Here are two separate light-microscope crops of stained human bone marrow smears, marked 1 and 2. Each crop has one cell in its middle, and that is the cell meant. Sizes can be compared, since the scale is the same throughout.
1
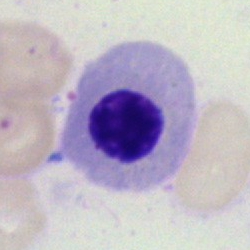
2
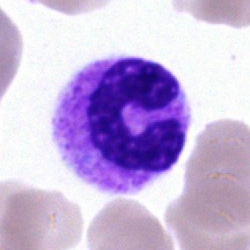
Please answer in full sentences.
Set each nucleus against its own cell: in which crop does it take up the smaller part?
It is the cell in crop 1 that is filled less by its nucleus.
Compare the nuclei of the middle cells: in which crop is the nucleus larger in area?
Larger is the nucleus in crop 2, at roughly 2 times the area of the other.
